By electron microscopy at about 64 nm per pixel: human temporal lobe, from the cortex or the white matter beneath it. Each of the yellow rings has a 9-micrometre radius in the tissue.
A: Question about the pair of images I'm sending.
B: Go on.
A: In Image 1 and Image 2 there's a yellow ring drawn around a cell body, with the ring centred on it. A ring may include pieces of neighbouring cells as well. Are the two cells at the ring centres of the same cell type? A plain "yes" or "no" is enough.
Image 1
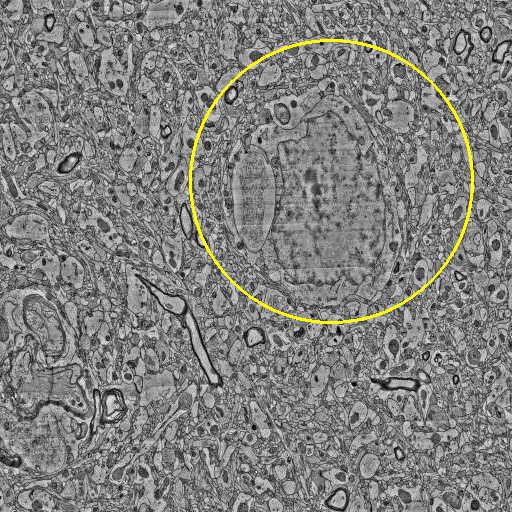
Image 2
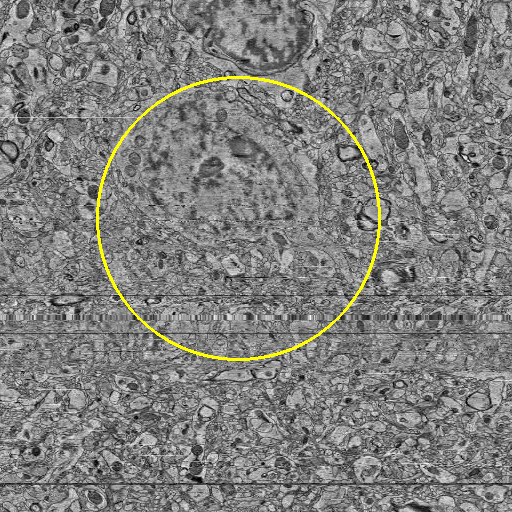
yes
